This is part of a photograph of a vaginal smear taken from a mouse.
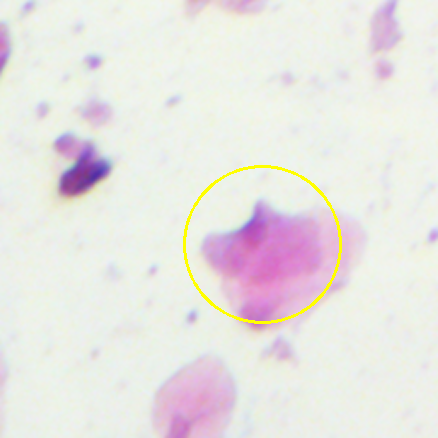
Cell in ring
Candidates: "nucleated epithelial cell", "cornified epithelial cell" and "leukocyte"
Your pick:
cornified epithelial cell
